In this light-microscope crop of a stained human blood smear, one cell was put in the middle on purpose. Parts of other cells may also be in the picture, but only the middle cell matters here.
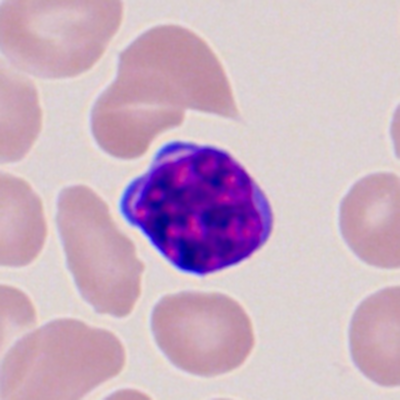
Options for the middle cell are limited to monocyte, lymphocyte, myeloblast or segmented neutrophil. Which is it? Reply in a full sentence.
By type, the central cell of the crop is a lymphocyte.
